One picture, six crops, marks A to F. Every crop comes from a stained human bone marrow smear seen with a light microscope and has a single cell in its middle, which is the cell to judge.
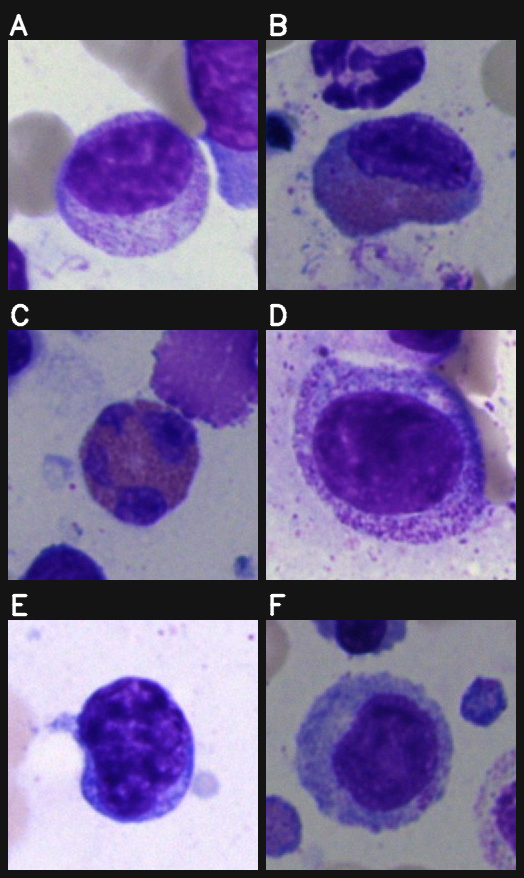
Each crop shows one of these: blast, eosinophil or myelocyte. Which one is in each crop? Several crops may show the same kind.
A: myelocyte
B: eosinophil
C: eosinophil
D: myelocyte
E: blast
F: myelocyte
